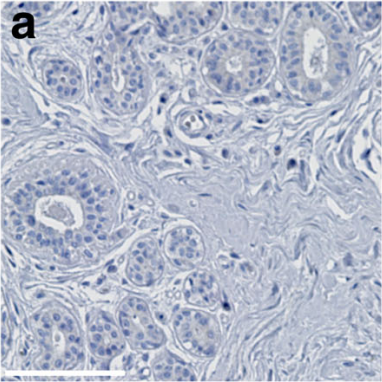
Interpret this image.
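This is normal breast tissue with several round ducts and acini cut in cross-section. Each is lined by an orderly epithelium of cells with small, uniform, oval nuclei around a central lumen, some containing pale secretion. Around them lies pale, wavy fibrous stroma with scattered spindle-shaped nuclei. There is essentially no brown staining; everything appears blue.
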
